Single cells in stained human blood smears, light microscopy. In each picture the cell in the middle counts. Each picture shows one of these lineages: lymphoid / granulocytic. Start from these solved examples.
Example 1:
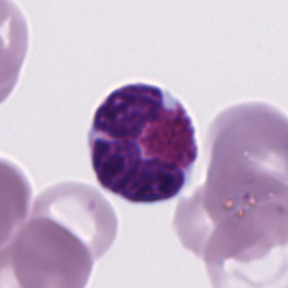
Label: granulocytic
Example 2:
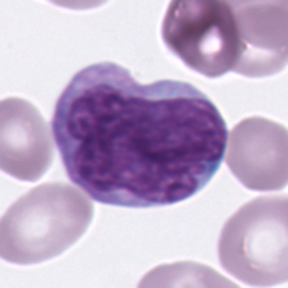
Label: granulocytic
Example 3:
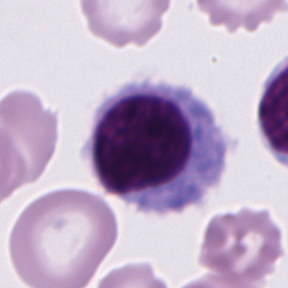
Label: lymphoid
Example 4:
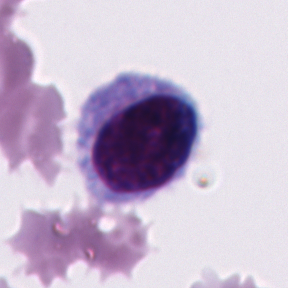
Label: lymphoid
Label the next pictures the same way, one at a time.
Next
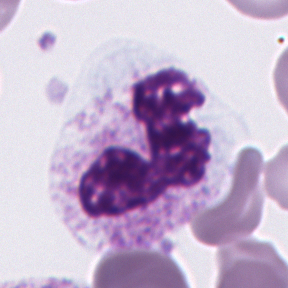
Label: granulocytic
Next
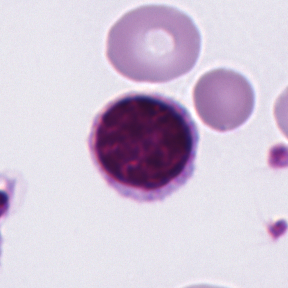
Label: lymphoid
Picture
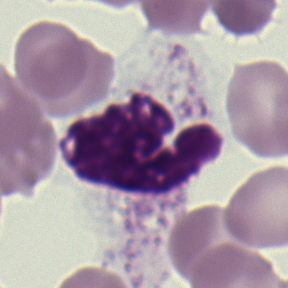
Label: granulocytic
